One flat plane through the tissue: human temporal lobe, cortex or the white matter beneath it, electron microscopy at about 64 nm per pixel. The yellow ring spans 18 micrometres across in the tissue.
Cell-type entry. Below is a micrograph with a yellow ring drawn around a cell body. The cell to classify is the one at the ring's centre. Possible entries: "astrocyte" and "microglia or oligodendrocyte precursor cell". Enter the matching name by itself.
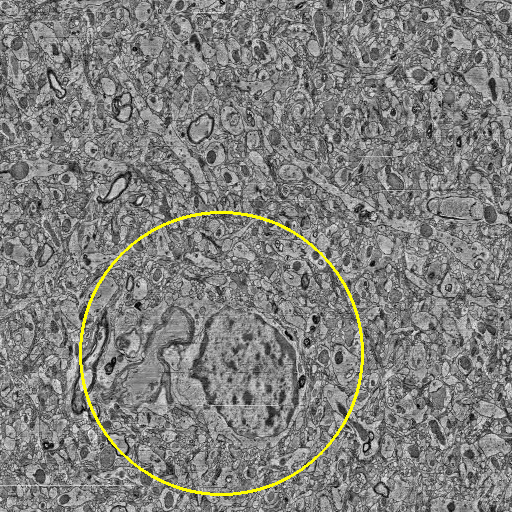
microglia or oligodendrocyte precursor cell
